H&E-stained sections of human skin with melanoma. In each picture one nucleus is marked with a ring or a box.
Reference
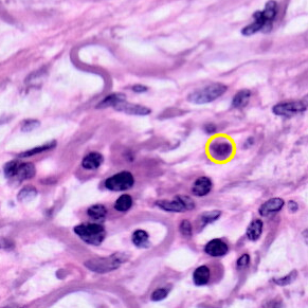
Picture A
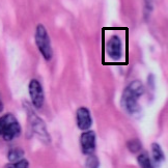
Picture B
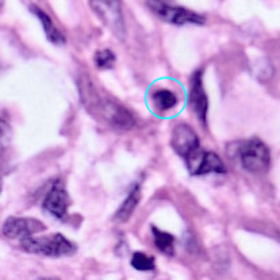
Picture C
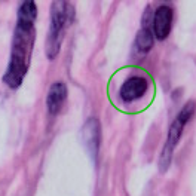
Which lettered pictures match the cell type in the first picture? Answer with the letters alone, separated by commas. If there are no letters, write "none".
C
